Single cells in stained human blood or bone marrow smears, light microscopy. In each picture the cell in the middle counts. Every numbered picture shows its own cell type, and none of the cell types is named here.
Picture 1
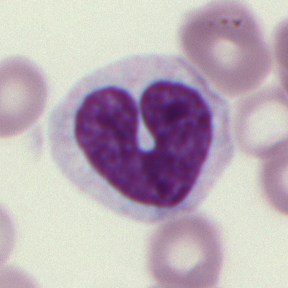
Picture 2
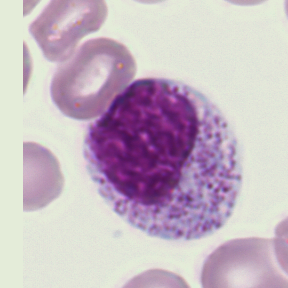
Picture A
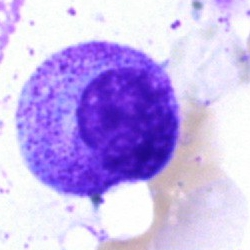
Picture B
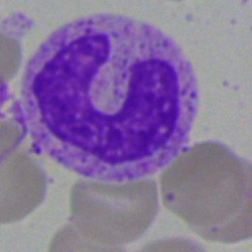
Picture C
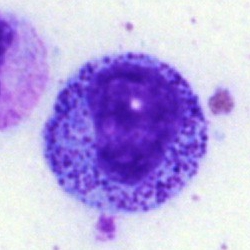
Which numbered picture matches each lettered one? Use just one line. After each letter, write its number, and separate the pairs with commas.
A 2, B 1, C 2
